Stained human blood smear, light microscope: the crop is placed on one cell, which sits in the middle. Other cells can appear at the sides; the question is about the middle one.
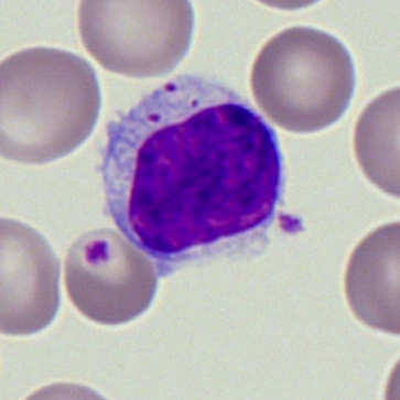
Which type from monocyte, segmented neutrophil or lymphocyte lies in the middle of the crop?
lymphocyte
